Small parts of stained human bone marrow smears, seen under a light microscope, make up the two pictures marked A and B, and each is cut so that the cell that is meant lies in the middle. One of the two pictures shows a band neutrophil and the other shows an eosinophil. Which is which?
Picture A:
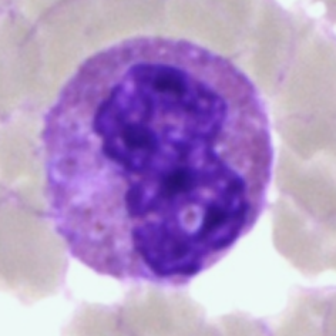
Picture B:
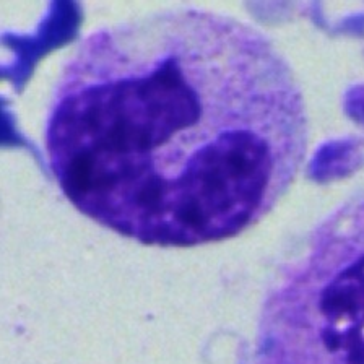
A: eosinophil
B: band neutrophil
